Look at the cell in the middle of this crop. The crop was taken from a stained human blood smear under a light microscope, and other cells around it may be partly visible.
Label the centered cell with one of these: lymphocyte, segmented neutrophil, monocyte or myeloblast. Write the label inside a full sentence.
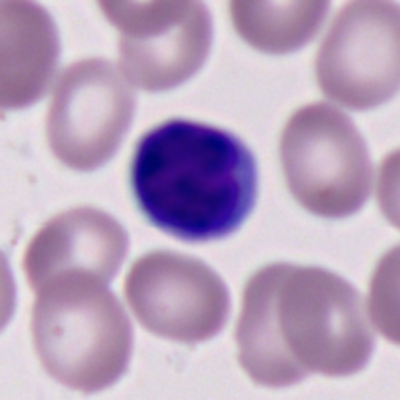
The middle position in this crop is taken by a lymphocyte.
